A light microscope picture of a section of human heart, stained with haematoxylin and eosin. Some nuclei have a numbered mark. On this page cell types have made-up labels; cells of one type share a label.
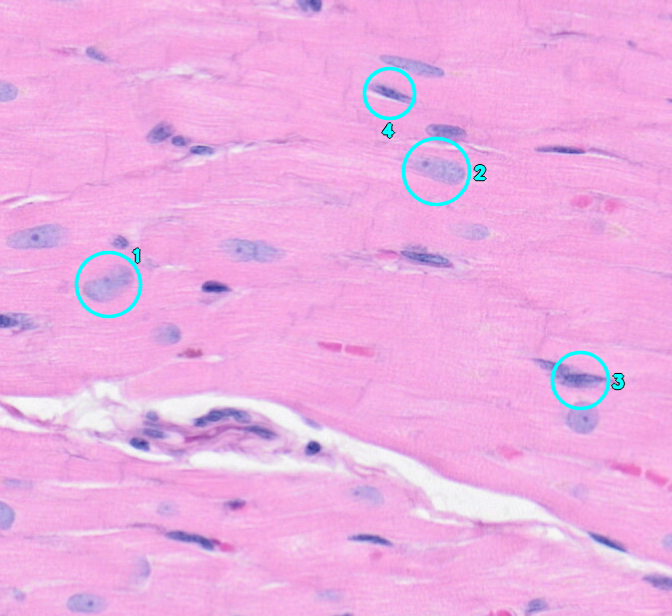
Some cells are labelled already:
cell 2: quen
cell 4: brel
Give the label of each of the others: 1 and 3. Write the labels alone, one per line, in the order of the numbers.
quen
brel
